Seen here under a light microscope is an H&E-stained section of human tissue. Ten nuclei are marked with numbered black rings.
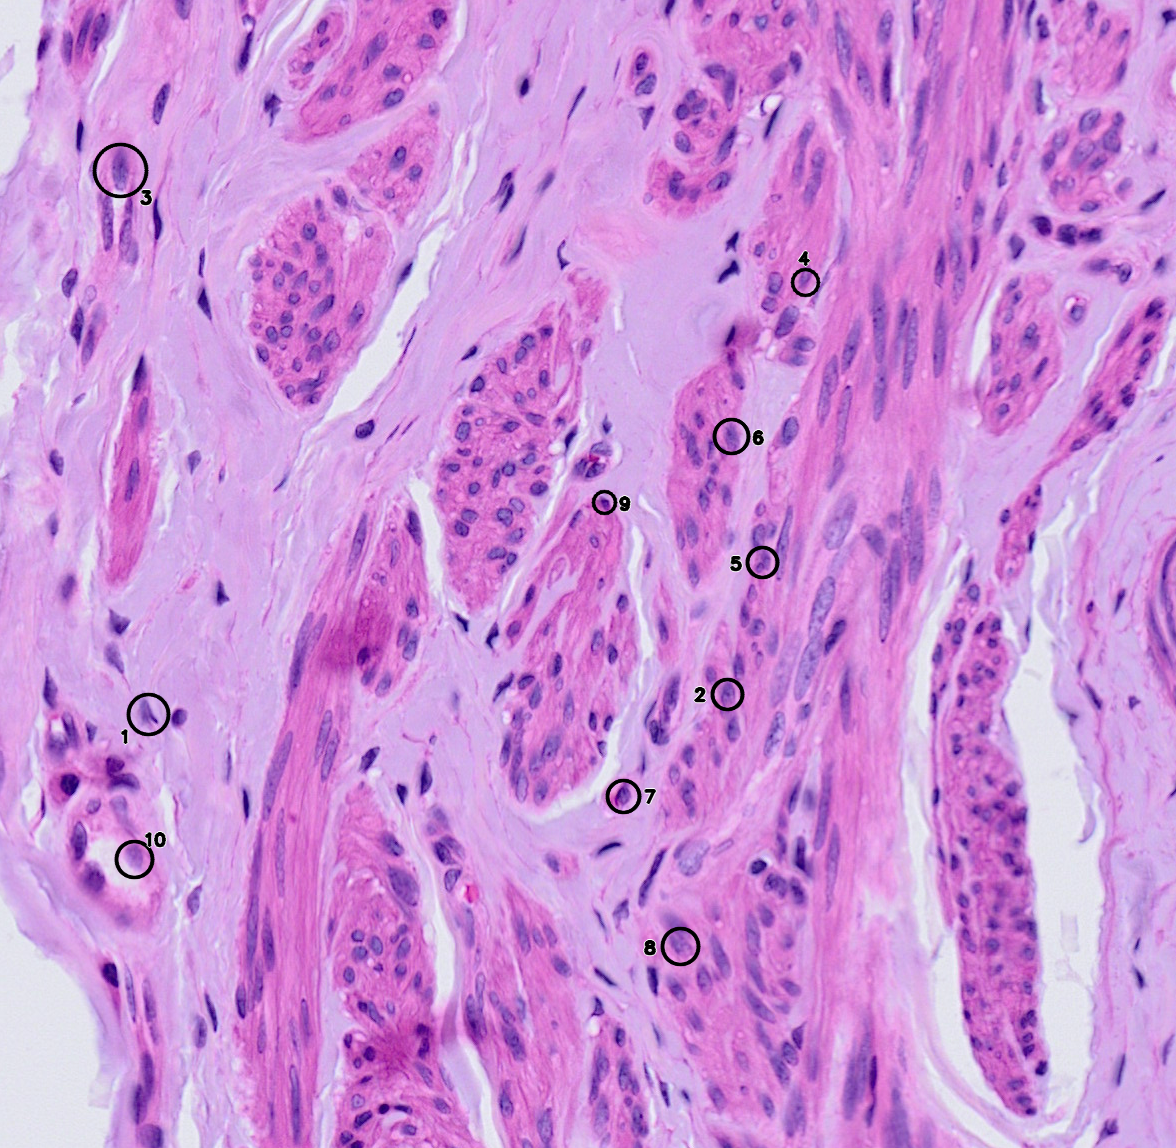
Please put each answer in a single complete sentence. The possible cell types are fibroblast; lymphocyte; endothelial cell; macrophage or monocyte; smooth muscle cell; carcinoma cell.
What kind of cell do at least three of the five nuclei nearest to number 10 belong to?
Most of the five nuclei nearest to number 10 are those of endothelial cells.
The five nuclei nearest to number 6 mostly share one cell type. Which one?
Most of the five nuclei nearest to number 6 are those of smooth muscle cells.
